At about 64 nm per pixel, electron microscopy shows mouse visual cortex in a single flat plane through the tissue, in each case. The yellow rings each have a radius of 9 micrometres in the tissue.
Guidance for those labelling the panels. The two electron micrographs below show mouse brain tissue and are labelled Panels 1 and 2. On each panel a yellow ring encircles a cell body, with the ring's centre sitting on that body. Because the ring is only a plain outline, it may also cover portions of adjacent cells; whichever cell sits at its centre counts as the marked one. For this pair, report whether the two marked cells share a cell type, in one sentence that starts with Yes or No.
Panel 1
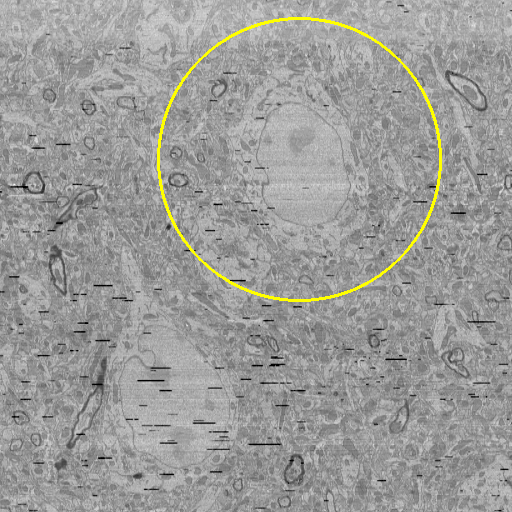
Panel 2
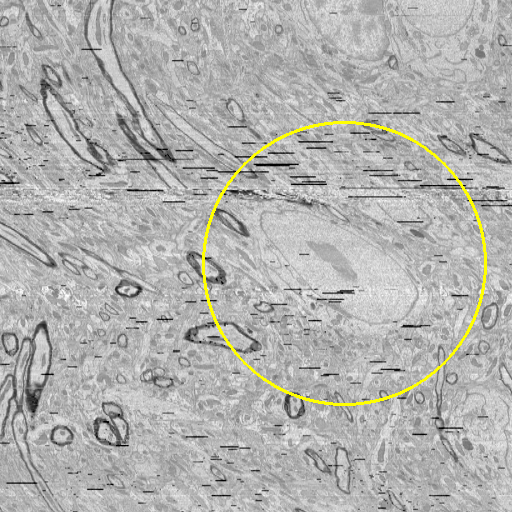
Yes, in Panel 1 and Panel 2 the marked cells at the ring centres share one type.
